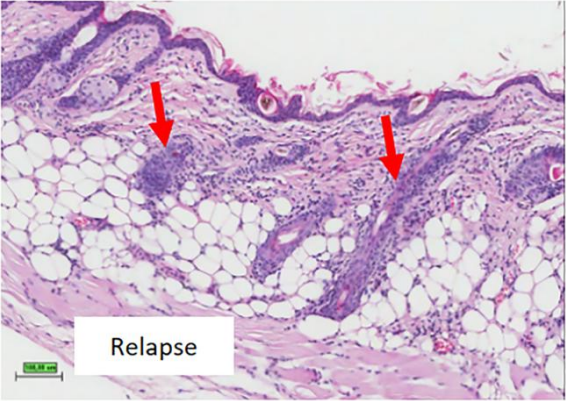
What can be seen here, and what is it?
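Skin cut in section, with a thin purple epidermis along the top and a dermis below. Sebaceous glands and hair follicles lie in the upper dermis, some at the surface, with pale-pink collagen between them. Beneath lies a wide layer of subcutaneous fat made of large empty-looking white fat cells with thin pink borders. Elongated hair follicles reach down into this fat. Dense collections of small, dark purple nuclei crowd around these follicles. Pink muscle fibres run across the bottom of the field.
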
